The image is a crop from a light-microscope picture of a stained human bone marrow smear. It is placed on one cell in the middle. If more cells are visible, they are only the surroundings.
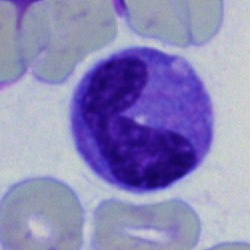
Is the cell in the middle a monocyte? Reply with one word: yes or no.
yes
